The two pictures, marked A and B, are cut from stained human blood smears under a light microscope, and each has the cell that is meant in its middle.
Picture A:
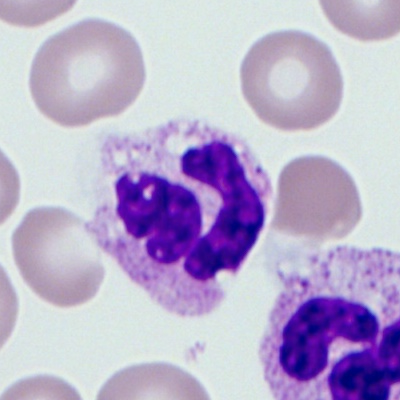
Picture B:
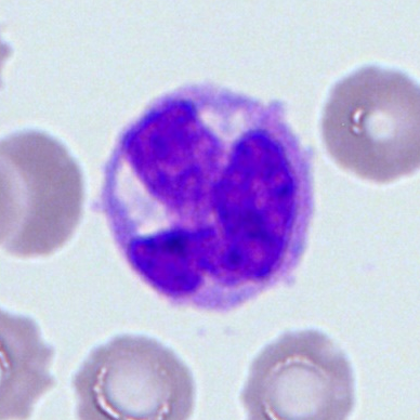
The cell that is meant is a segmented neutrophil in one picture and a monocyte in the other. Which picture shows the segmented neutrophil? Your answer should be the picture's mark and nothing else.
A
